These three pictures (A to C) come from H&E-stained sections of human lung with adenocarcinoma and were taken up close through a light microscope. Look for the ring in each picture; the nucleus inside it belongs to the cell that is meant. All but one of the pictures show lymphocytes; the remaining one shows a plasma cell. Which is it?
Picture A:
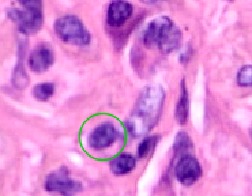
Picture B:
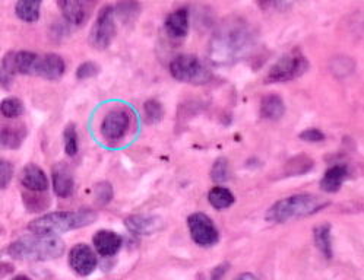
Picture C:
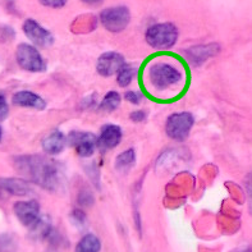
B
